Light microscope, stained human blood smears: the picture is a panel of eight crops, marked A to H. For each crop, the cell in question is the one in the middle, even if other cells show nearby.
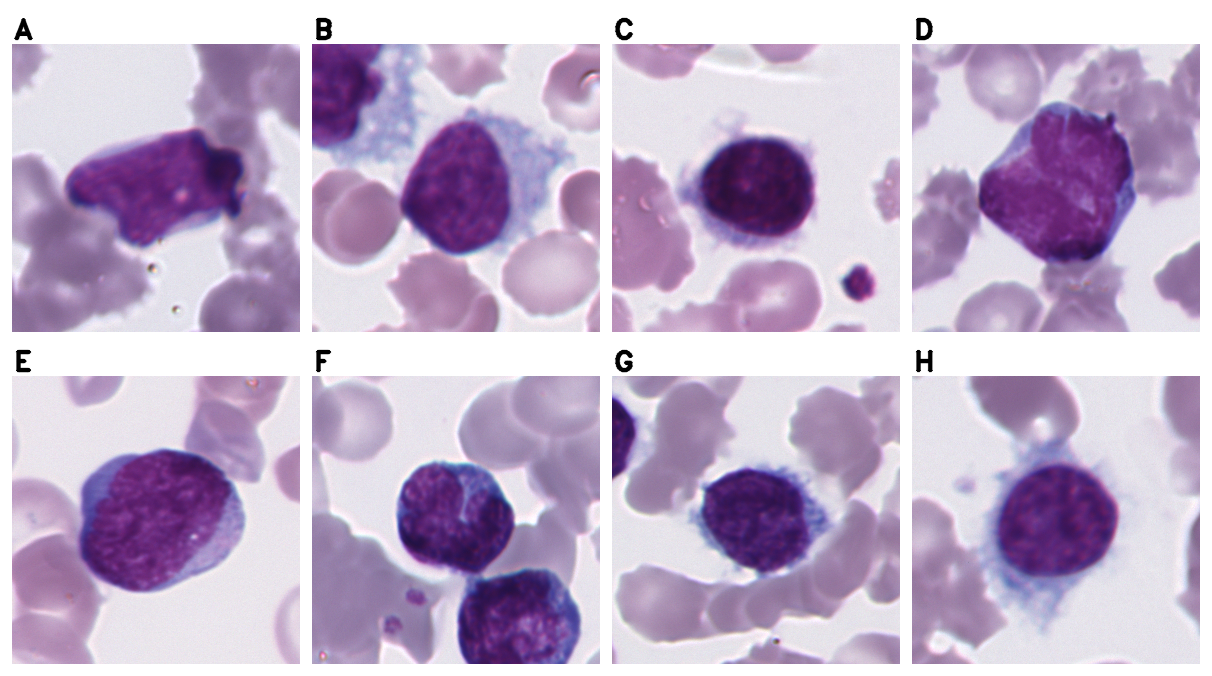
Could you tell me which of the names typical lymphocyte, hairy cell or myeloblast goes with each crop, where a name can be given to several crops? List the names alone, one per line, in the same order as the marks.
myeloblast
hairy cell
hairy cell
myeloblast
myeloblast
typical lymphocyte
hairy cell
hairy cell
